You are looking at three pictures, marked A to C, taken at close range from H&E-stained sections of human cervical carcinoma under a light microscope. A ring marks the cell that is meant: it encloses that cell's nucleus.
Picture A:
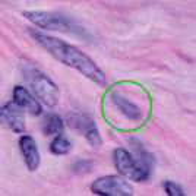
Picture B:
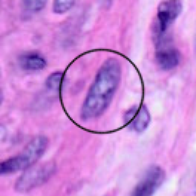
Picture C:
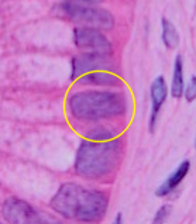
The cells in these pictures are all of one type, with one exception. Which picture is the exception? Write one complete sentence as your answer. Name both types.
The different one is picture C; it shows a secretory epithelial cell, whereas all the others show smooth muscle cells.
